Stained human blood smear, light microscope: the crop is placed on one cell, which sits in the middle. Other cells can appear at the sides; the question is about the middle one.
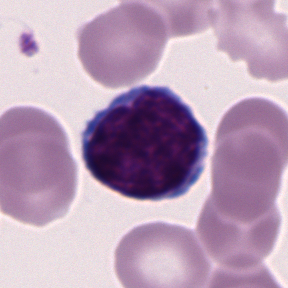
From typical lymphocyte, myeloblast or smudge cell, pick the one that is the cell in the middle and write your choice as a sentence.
The crop shows a typical lymphocyte in its centre.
